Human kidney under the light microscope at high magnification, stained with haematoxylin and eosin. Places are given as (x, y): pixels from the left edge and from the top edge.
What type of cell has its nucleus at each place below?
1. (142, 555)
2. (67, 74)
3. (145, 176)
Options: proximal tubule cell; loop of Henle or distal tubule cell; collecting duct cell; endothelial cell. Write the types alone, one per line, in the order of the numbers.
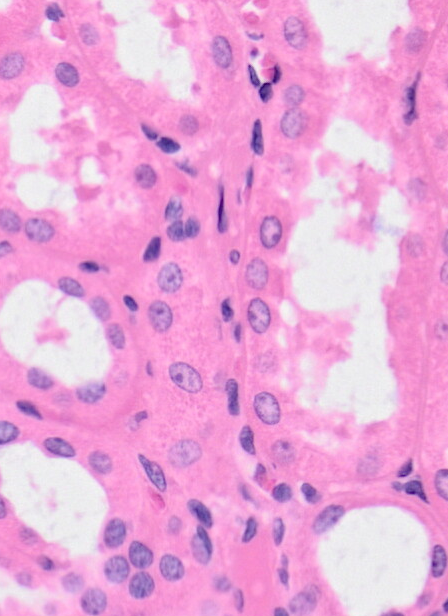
loop of Henle or distal tubule cell
proximal tubule cell
proximal tubule cell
